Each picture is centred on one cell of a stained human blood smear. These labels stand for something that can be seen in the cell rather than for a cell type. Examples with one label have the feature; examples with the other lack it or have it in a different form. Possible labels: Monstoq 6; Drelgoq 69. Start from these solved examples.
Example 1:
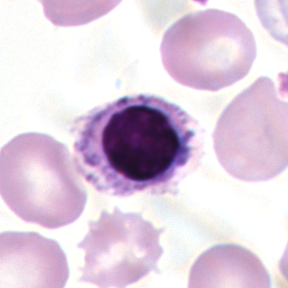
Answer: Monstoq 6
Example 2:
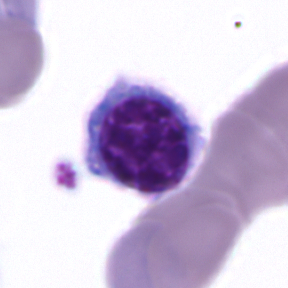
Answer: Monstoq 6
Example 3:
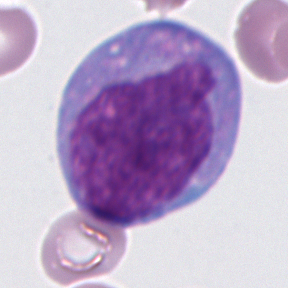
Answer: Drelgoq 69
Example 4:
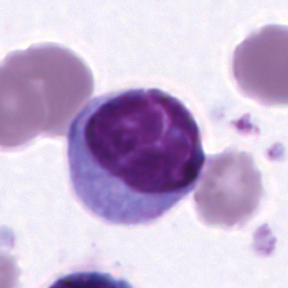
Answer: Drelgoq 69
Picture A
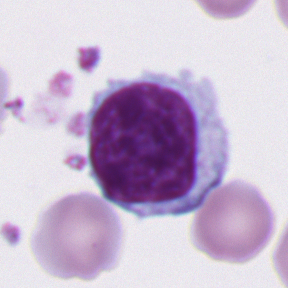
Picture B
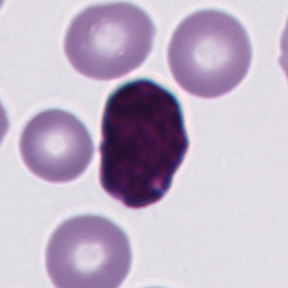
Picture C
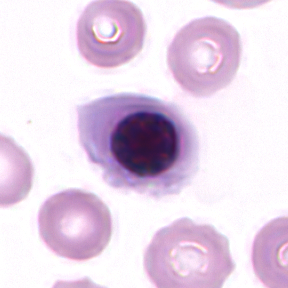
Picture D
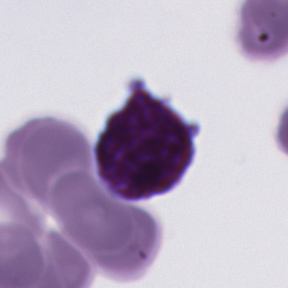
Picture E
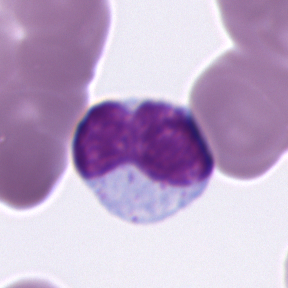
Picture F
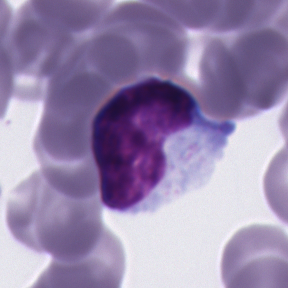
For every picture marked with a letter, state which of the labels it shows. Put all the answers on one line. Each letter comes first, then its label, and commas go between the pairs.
A Monstoq 6, B Drelgoq 69, C Monstoq 6, D Monstoq 6, E Drelgoq 69, F Monstoq 6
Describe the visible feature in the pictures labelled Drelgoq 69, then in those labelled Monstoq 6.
Drelgoq 69, smooth outline; Monstoq 6, ragged outline or projections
